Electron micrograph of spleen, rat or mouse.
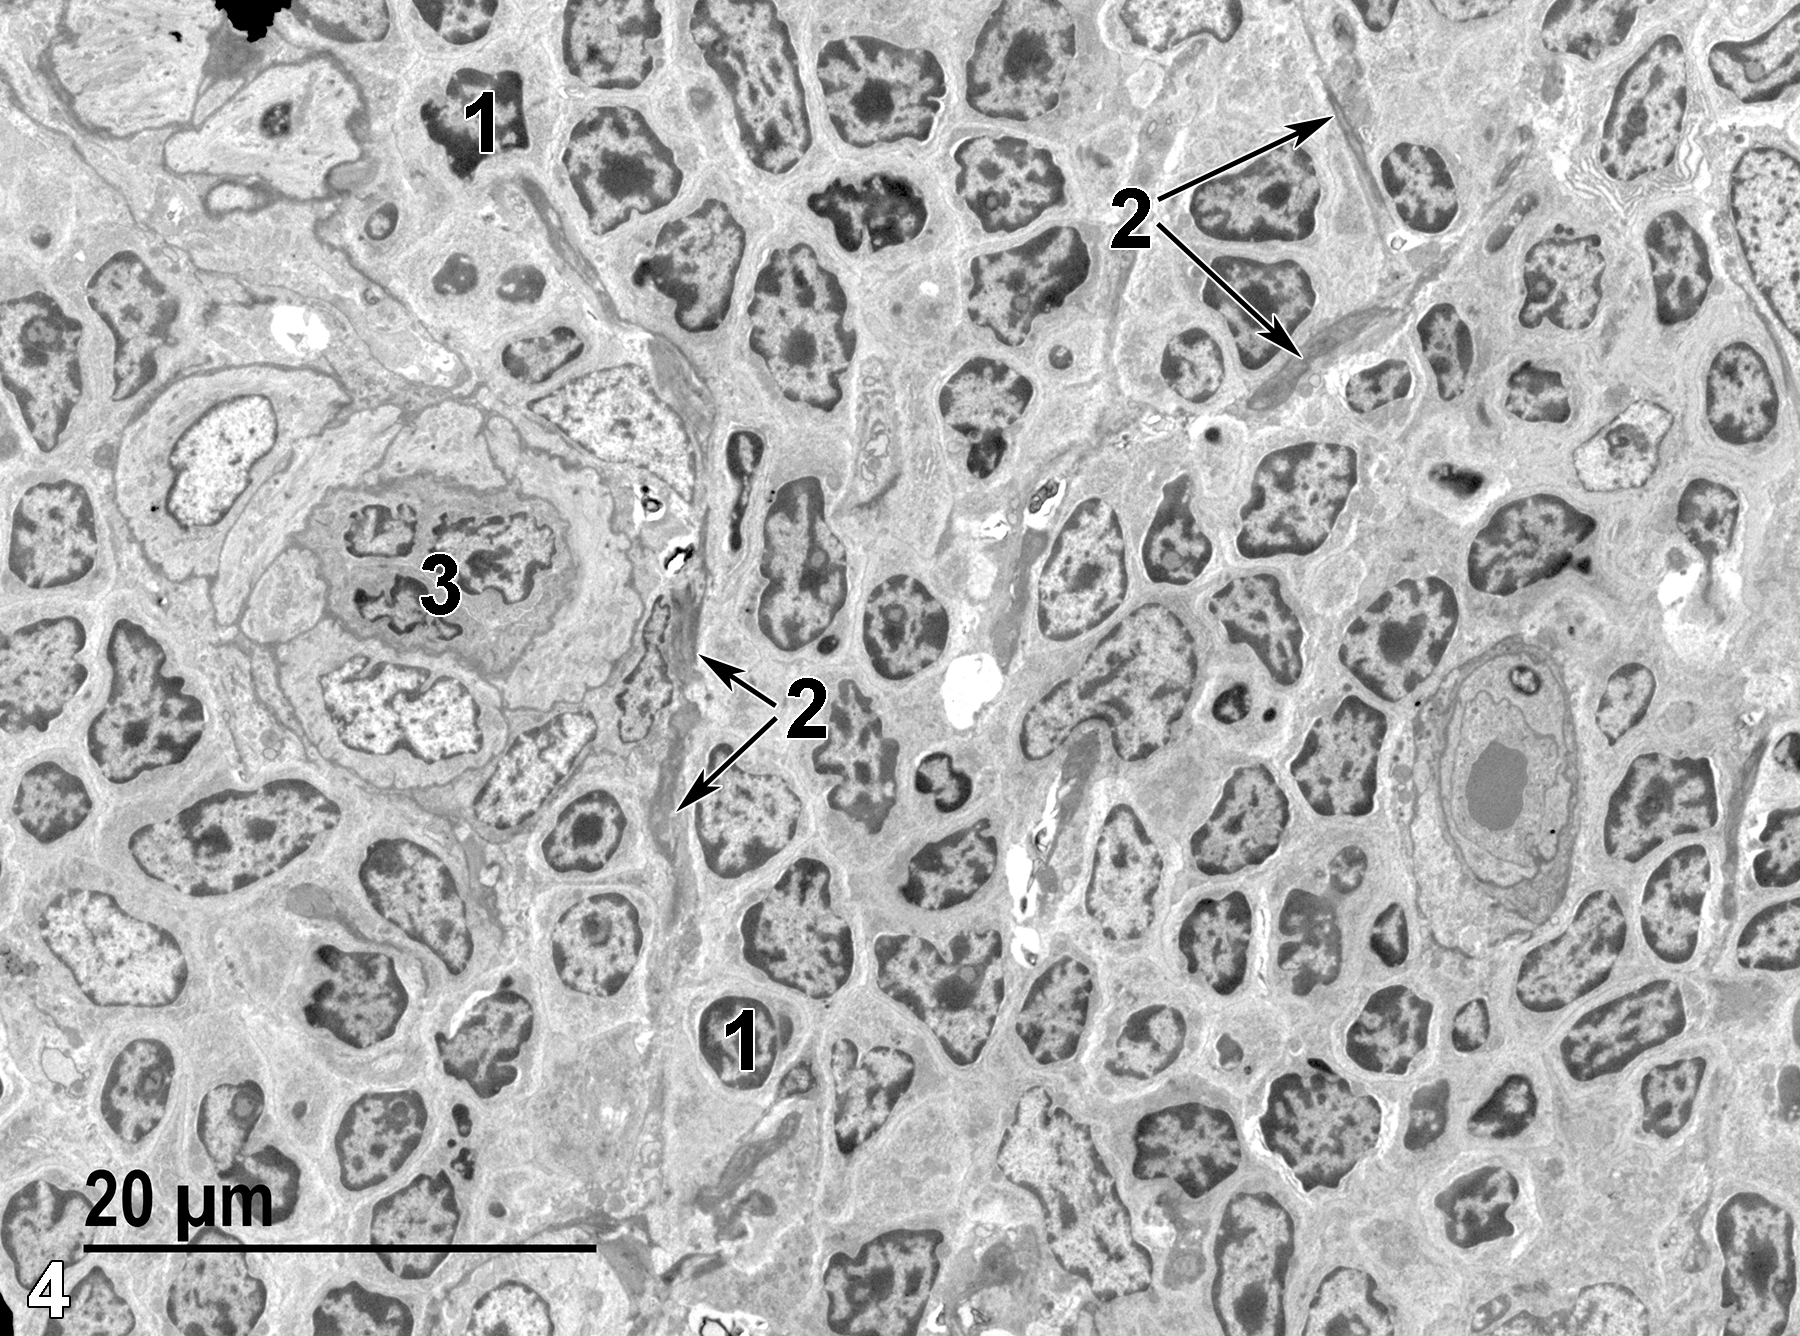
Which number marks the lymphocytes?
Number 1.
